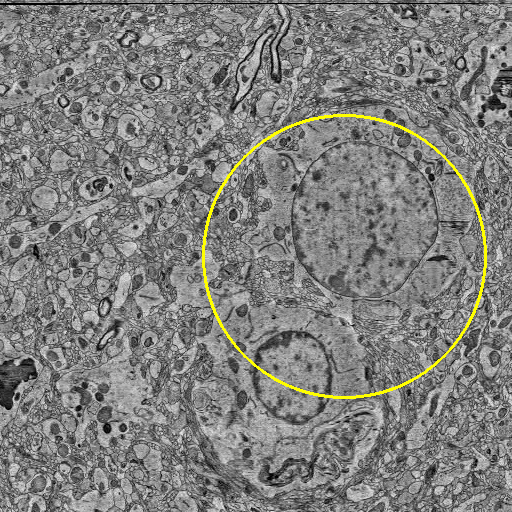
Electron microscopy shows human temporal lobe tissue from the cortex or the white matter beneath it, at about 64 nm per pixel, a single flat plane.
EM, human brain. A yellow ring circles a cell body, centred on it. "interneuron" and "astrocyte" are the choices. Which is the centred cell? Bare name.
astrocyte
